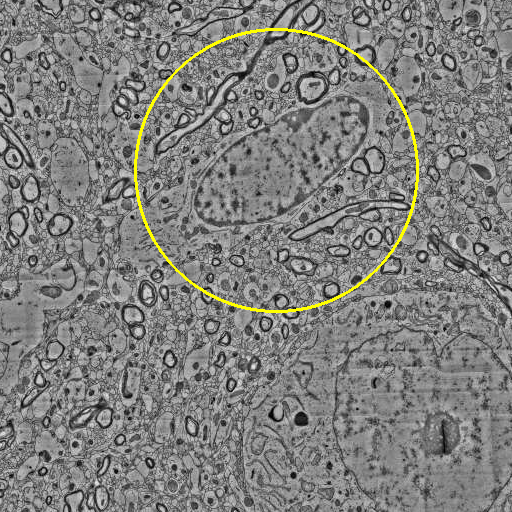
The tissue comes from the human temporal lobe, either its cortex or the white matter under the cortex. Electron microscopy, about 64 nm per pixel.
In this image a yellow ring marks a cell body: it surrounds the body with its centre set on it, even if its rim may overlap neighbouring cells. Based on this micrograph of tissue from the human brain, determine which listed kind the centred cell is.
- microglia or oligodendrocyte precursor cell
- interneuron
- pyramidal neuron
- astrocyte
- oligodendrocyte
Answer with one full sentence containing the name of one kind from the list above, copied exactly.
It is a microglial cell or oligodendrocyte precursor cell whose body the yellow ring encloses at its centre.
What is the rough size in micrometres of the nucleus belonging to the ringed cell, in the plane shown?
In this plane, approximately 12 by 5 micrometers, and clearly longer than it is wide.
